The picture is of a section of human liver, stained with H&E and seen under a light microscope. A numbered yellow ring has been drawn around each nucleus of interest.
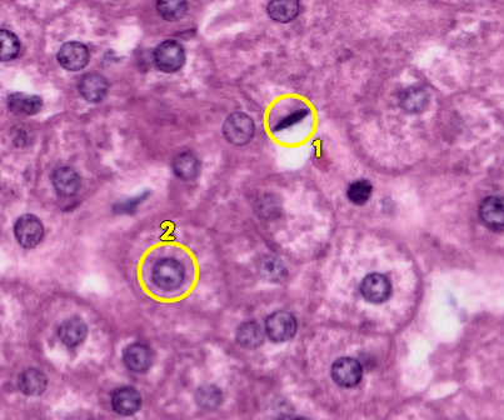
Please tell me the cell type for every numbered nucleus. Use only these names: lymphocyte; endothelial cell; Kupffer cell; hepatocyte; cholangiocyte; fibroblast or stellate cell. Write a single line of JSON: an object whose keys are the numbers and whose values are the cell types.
{"1": "endothelial cell", "2": "hepatocyte"}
